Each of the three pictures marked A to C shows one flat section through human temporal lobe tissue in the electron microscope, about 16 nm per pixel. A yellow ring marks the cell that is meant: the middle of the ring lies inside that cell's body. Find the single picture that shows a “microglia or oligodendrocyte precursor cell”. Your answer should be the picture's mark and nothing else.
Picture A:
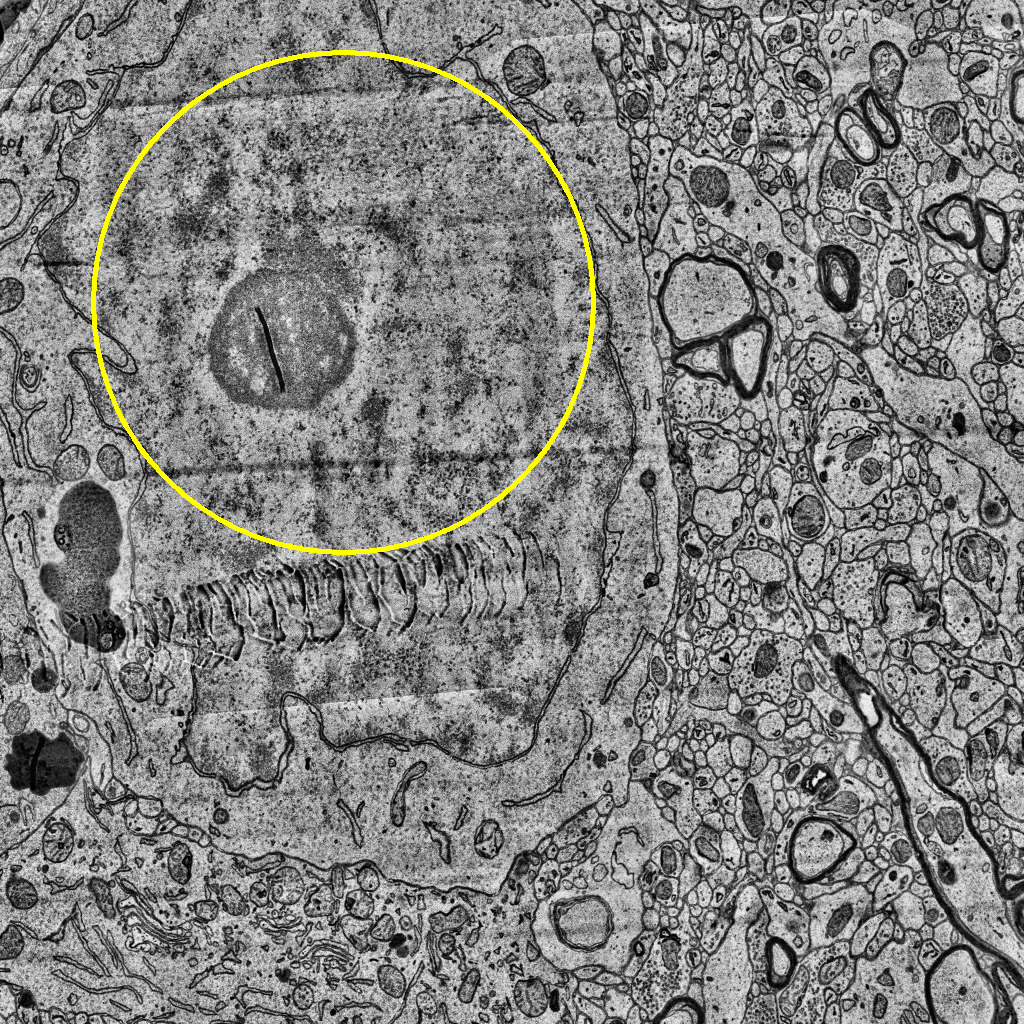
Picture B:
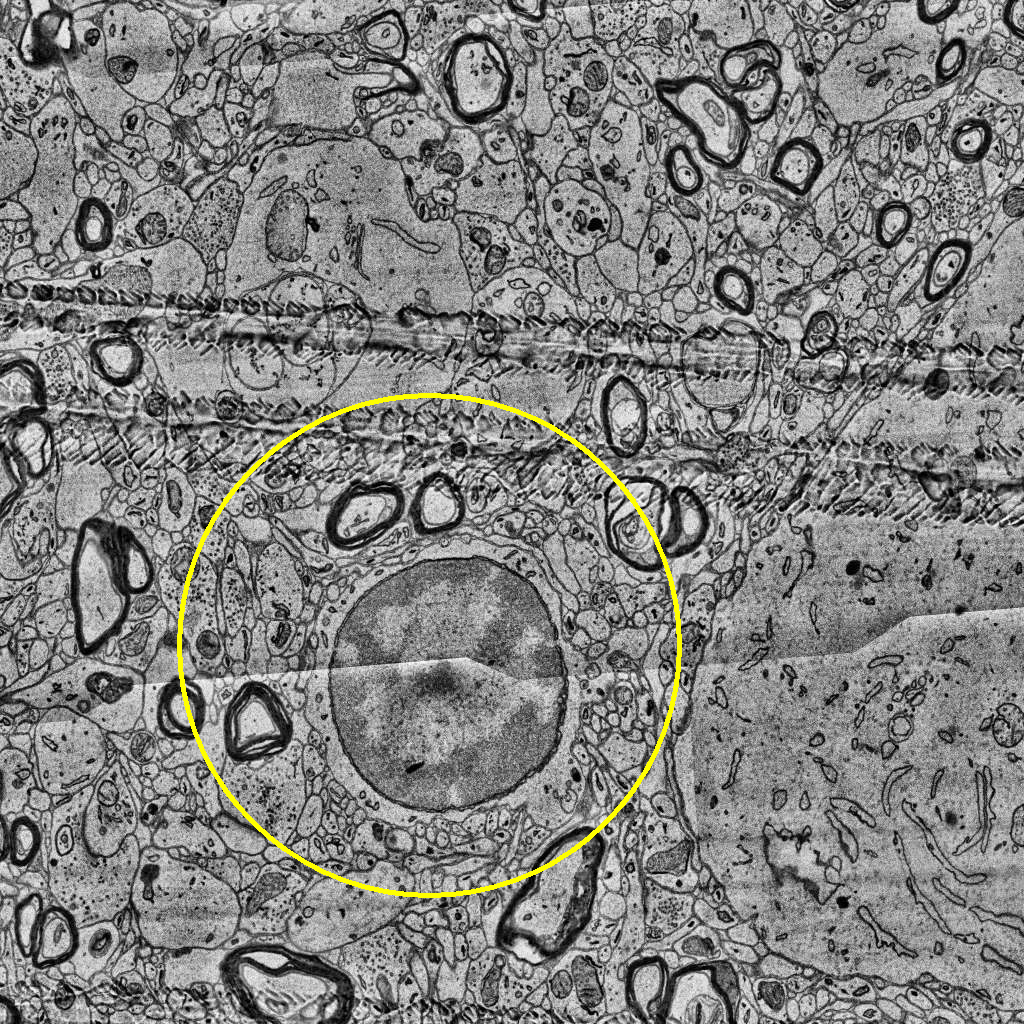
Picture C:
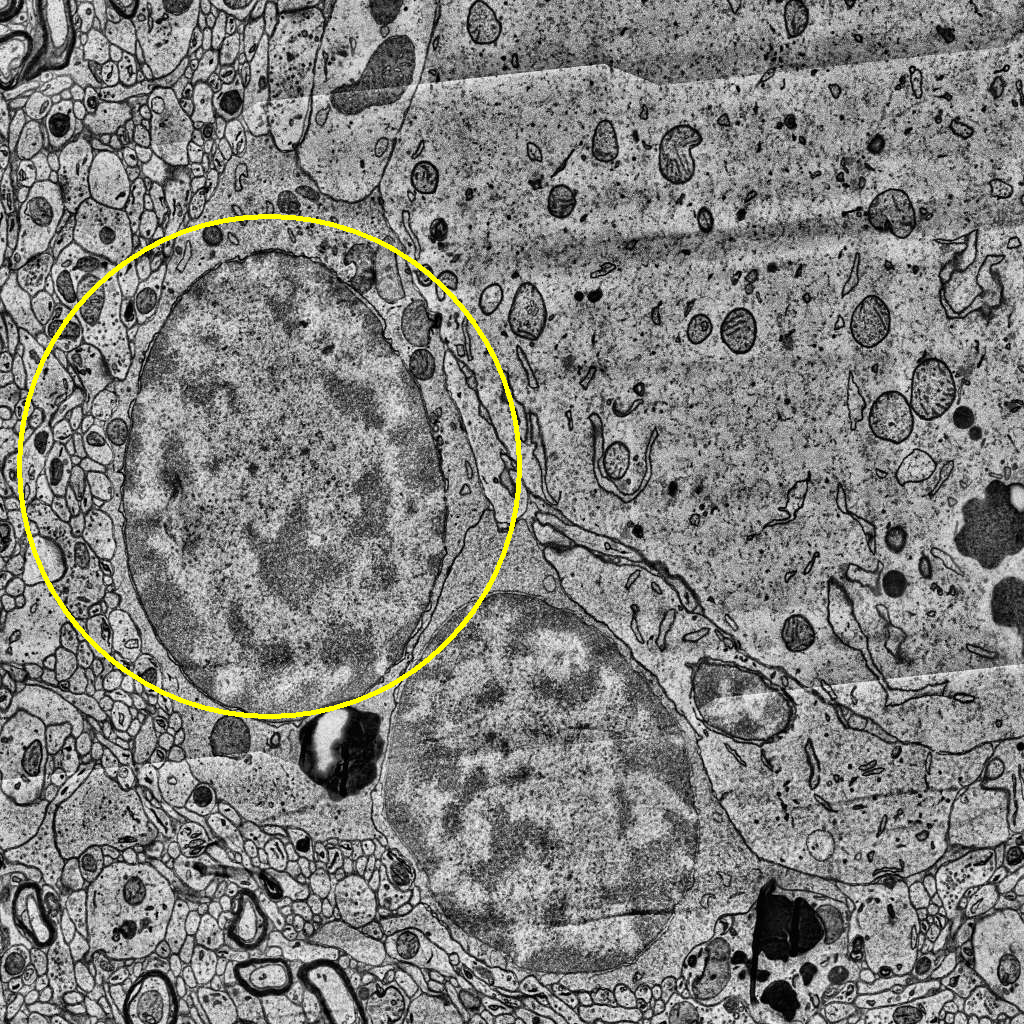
B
